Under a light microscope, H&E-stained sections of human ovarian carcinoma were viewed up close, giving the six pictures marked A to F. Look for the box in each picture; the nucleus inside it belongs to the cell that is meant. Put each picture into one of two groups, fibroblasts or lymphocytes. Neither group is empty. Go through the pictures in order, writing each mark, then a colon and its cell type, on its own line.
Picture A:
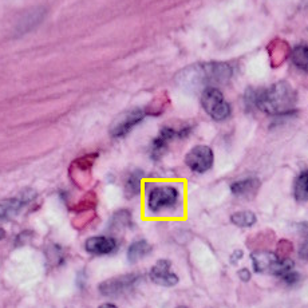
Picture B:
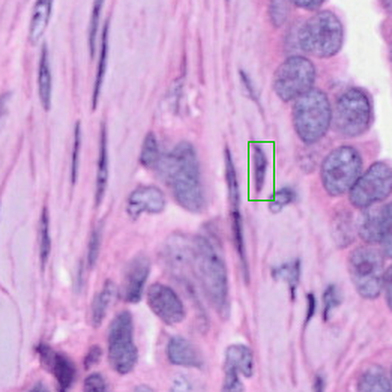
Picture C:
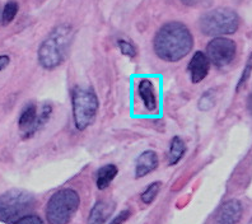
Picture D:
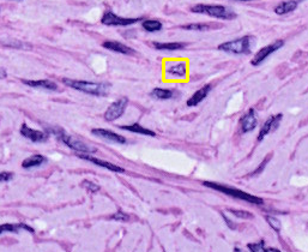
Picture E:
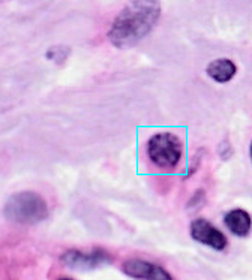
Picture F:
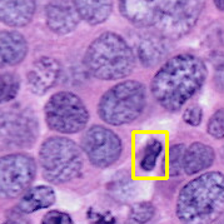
A: lymphocyte
B: fibroblast
C: lymphocyte
D: fibroblast
E: lymphocyte
F: lymphocyte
